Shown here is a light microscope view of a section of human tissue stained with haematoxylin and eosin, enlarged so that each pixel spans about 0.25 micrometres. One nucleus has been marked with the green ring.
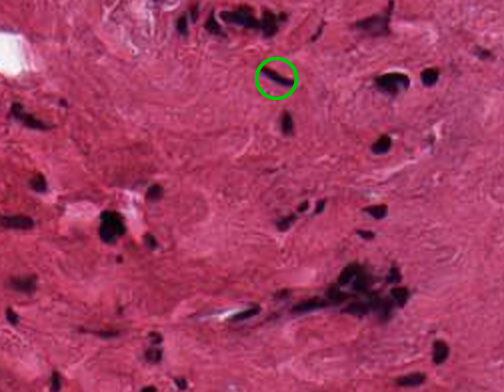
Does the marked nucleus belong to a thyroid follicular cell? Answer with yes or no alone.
no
